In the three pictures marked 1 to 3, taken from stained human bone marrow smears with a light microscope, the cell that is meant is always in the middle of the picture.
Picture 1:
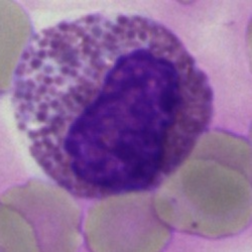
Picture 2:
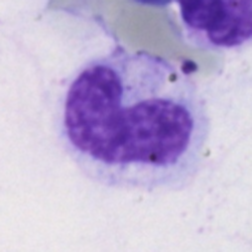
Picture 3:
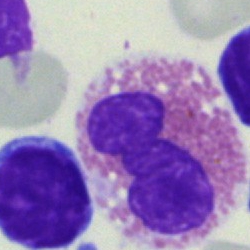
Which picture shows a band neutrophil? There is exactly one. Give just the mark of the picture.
2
